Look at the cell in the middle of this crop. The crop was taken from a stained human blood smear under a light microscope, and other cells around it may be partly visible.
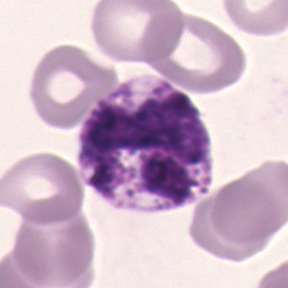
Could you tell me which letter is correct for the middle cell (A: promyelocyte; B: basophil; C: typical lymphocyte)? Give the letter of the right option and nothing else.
B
